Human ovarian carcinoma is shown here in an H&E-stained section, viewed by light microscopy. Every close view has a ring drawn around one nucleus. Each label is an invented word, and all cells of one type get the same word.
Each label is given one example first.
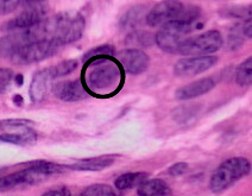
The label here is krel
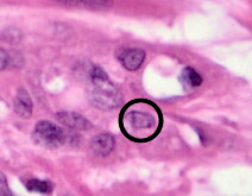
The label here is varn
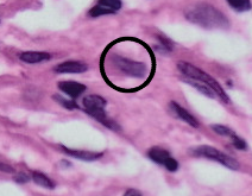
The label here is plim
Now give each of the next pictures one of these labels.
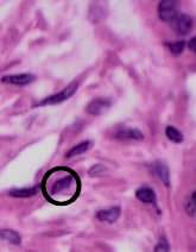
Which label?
plim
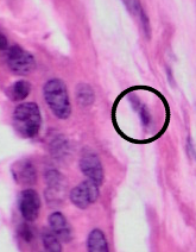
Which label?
plim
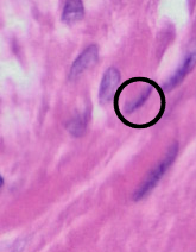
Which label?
plim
